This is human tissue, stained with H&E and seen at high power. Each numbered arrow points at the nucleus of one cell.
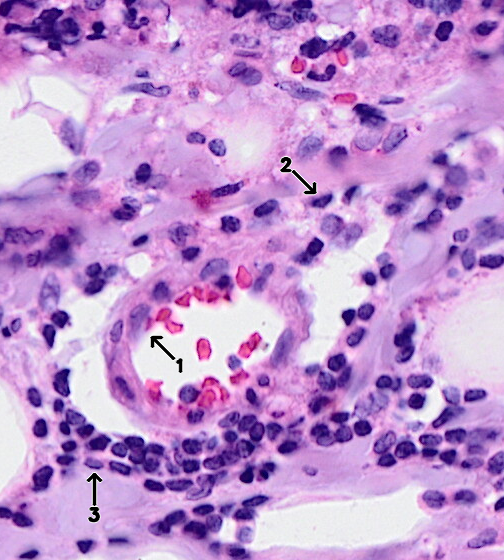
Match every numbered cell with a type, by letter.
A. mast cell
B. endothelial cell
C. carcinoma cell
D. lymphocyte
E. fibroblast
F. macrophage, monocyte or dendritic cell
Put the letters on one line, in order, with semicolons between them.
B; D; D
